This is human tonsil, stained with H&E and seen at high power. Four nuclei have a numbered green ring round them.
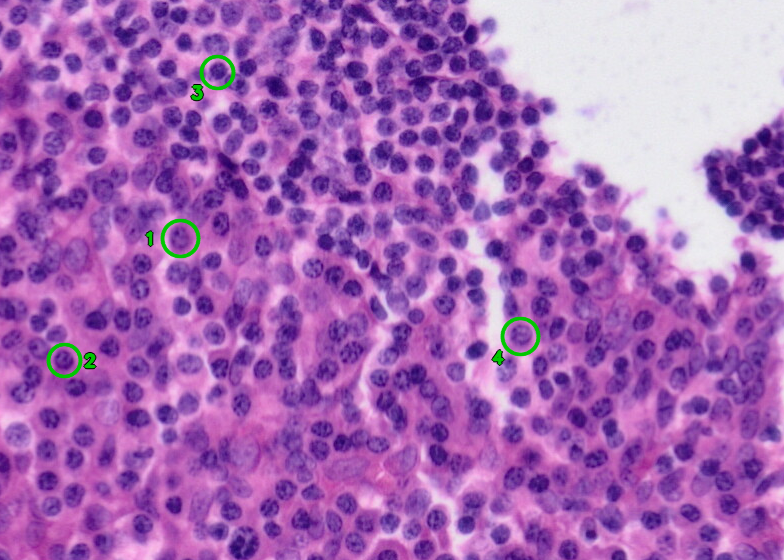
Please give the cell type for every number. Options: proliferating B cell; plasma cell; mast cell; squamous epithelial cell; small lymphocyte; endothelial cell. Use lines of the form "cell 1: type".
cell 1: plasma cell
cell 2: plasma cell
cell 3: small lymphocyte
cell 4: plasma cell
